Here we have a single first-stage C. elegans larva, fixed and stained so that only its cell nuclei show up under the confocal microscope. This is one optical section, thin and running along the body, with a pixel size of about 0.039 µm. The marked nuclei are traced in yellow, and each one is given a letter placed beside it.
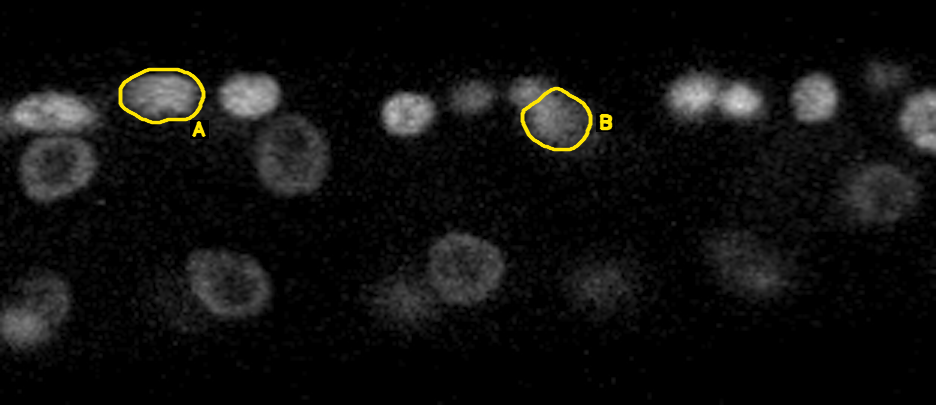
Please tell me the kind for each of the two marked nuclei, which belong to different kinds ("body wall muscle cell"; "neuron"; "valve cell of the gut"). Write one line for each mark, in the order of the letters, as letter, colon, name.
A: neuron
B: body wall muscle cell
